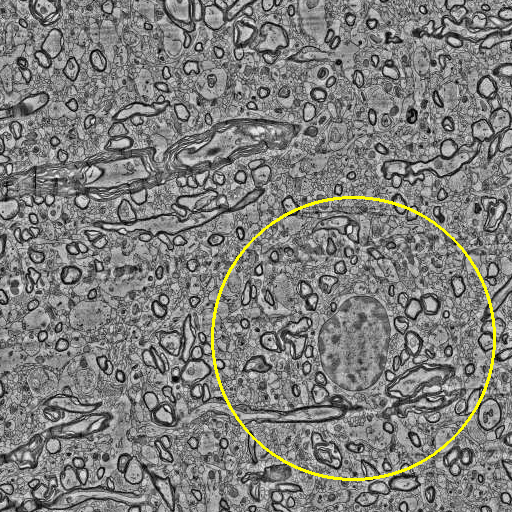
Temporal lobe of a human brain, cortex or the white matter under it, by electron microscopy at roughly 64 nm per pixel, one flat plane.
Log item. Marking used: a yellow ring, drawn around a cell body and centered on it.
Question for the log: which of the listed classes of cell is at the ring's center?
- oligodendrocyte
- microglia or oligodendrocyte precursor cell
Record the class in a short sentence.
At the center of the ring lies a microglial cell or oligodendrocyte precursor cell.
